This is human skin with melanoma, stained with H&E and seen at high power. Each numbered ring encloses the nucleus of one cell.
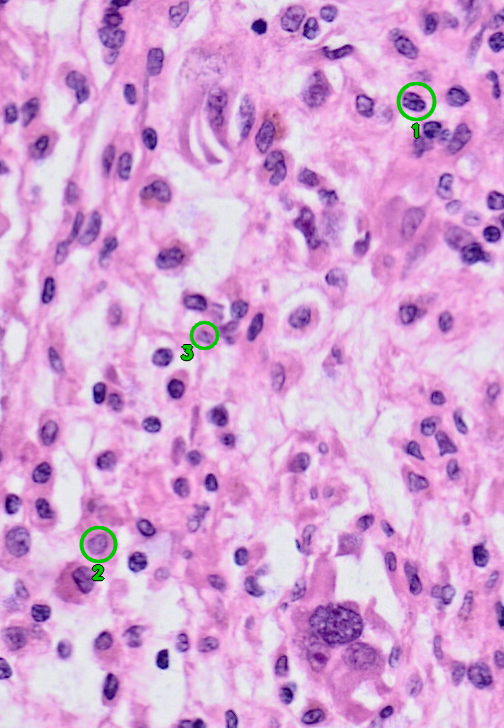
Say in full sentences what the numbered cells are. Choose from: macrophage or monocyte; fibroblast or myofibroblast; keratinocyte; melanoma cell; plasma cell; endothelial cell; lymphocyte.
Cell 1 is a lymphocyte, cell 2 is a macrophage or monocyte and cell 3 is a macrophage or monocyte.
